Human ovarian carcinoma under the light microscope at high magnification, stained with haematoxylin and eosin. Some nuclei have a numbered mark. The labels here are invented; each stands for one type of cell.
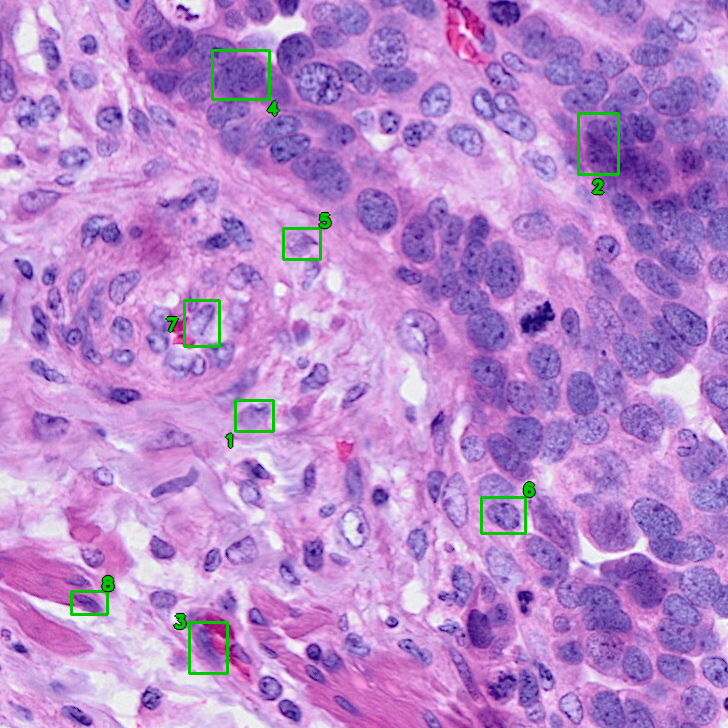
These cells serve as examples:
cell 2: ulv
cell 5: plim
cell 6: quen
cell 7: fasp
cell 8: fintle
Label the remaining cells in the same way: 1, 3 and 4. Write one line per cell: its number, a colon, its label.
1: plim
3: fasp
4: ulv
